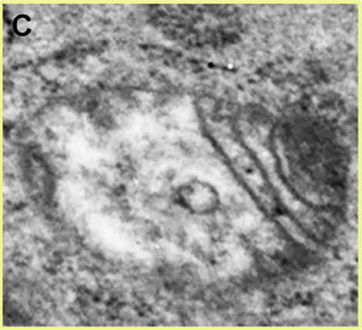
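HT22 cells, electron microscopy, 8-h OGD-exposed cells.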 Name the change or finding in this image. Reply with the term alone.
Damaged mitochondria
